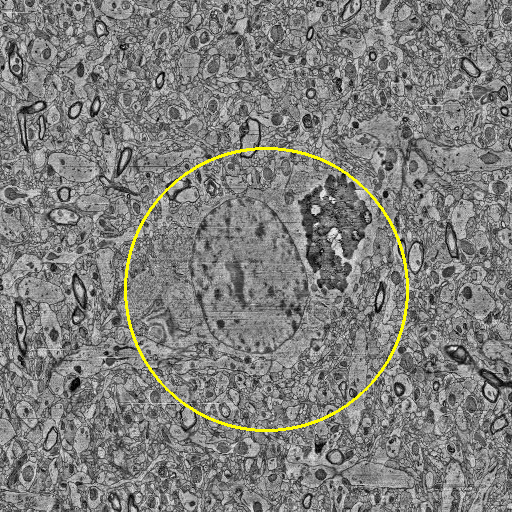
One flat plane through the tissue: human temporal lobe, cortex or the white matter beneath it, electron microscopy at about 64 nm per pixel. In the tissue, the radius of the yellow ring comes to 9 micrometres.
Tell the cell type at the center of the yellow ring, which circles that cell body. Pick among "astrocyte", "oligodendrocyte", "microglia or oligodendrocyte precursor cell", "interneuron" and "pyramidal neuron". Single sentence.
The ring is centered on the body of an astrocyte.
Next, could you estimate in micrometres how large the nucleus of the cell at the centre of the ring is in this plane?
About 10 by 7 micrometers for the nucleus, in this plane.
